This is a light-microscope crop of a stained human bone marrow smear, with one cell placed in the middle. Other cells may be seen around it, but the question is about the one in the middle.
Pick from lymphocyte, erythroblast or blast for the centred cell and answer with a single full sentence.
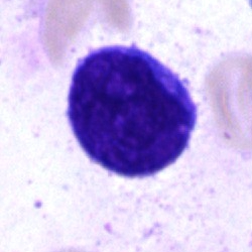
At the crop's centre, the cell is a blast.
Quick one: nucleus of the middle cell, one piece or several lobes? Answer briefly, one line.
A single compact nucleus, round, oval or kidney-shaped, is what this cell shows.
